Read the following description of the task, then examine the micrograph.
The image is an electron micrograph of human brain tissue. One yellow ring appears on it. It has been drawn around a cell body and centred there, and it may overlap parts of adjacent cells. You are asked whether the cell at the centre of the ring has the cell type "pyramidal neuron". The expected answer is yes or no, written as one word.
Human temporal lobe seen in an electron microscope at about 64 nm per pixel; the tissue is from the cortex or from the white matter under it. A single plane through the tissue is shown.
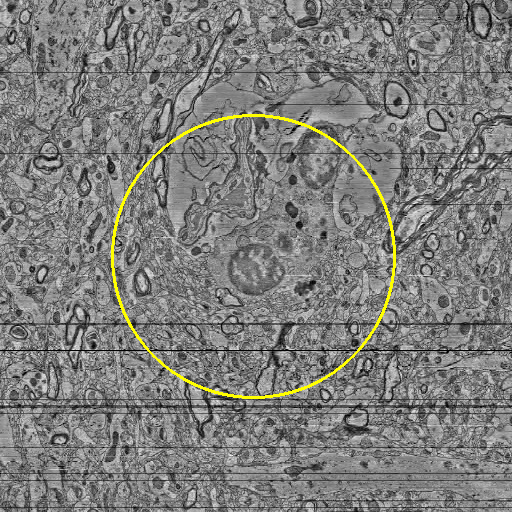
no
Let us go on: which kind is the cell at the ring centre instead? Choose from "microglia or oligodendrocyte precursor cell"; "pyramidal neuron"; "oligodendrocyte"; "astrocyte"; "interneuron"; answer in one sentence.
What the ring is centred on is an oligodendrocyte.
